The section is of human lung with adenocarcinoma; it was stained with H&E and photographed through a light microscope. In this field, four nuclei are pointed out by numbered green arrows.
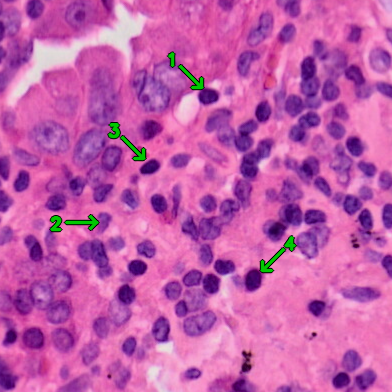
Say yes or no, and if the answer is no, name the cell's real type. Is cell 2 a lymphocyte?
Yes.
